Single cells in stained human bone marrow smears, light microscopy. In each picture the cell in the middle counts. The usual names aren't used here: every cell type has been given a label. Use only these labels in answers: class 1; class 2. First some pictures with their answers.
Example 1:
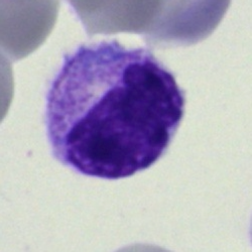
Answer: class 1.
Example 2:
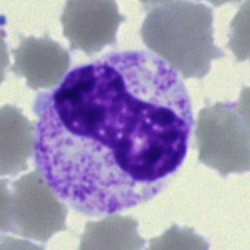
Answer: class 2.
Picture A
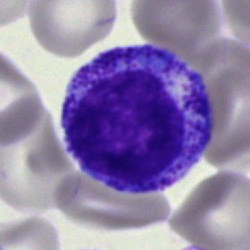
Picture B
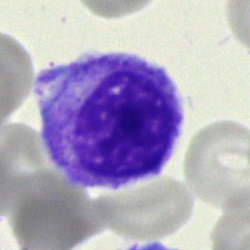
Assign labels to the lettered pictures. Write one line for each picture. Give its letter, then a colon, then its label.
A: class 1.
B: class 1.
